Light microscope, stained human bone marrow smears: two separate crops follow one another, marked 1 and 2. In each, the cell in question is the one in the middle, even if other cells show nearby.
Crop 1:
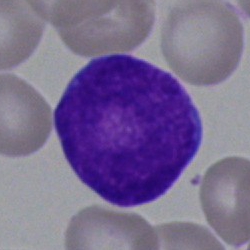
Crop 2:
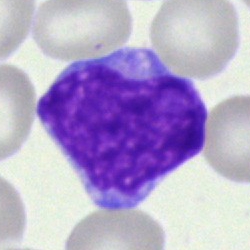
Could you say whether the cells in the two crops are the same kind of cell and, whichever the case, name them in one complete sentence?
Yes, in the middle of both crops, blasts are shown.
